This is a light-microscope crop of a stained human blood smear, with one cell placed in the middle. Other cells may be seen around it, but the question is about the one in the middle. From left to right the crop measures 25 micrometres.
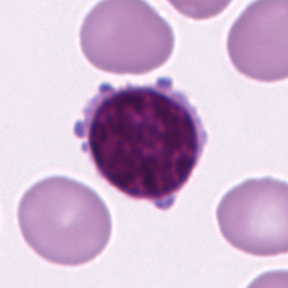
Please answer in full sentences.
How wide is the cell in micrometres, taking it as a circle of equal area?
Taken as a circle, the cell has a diameter of about 11 micrometres.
